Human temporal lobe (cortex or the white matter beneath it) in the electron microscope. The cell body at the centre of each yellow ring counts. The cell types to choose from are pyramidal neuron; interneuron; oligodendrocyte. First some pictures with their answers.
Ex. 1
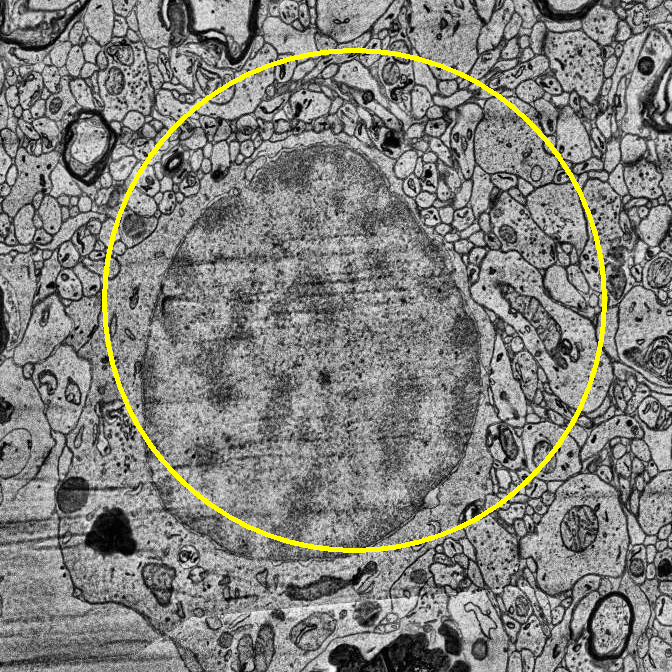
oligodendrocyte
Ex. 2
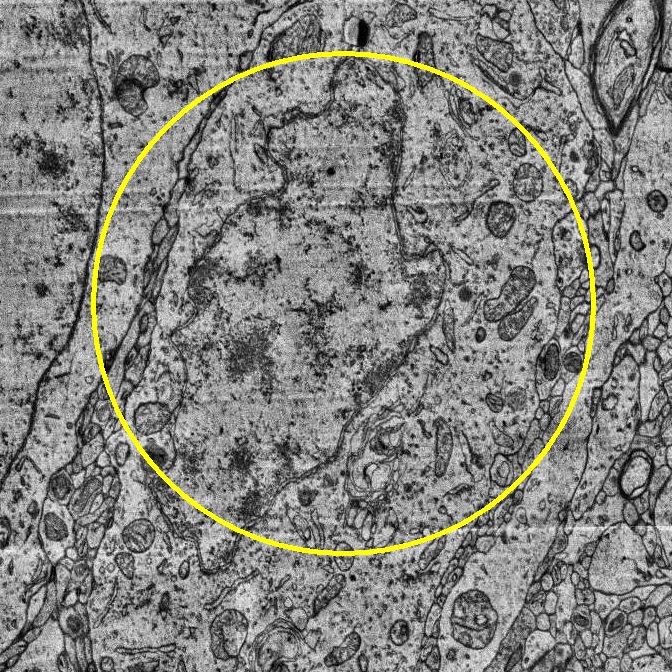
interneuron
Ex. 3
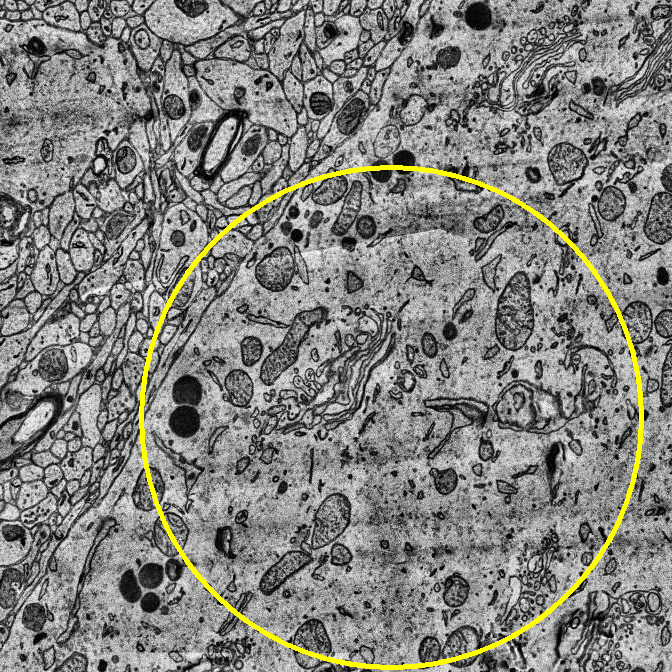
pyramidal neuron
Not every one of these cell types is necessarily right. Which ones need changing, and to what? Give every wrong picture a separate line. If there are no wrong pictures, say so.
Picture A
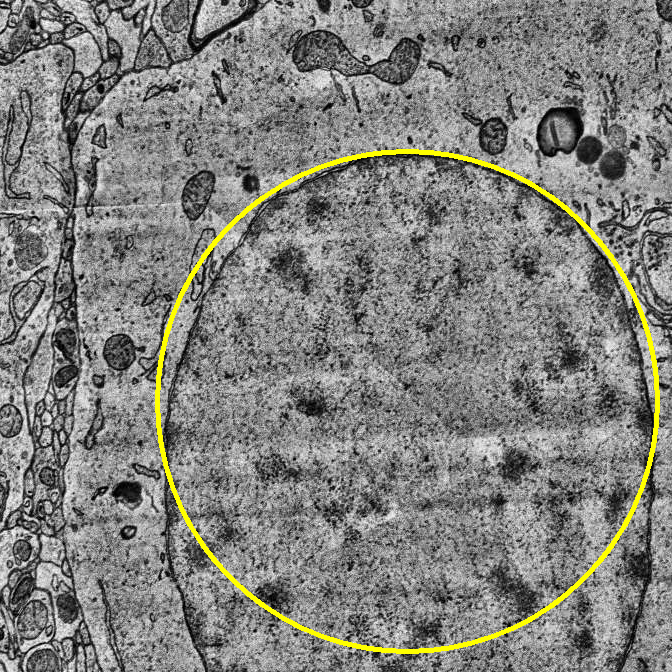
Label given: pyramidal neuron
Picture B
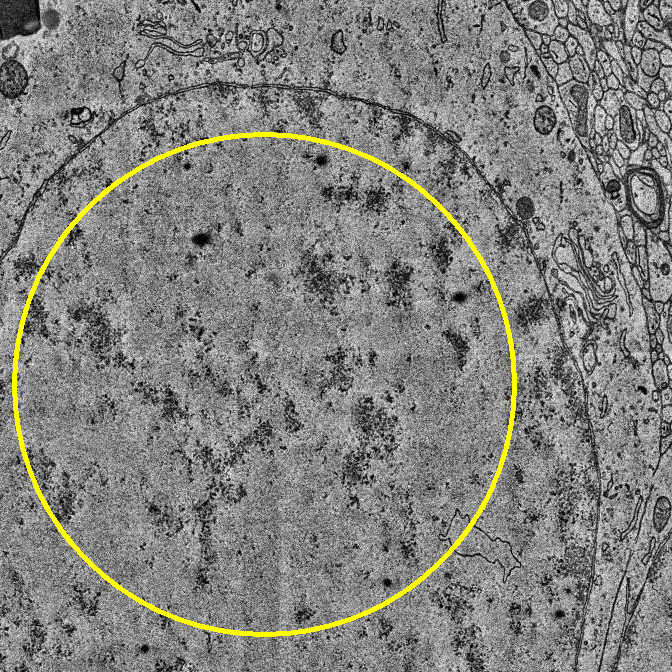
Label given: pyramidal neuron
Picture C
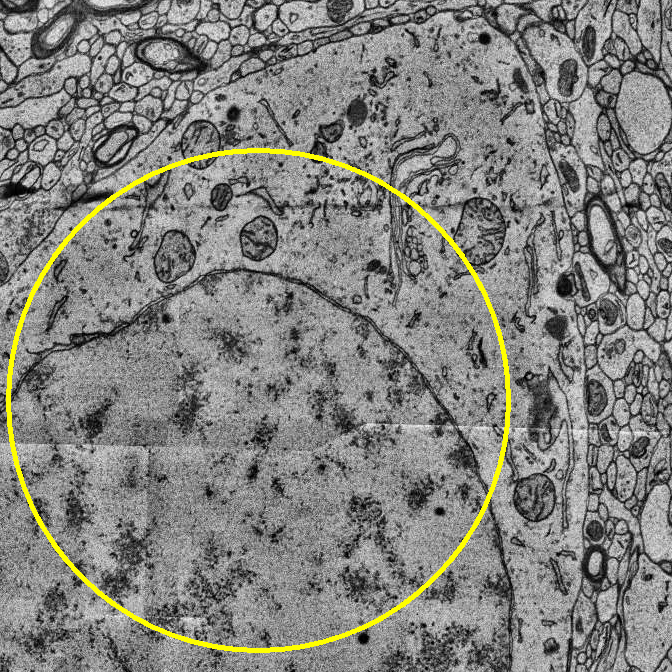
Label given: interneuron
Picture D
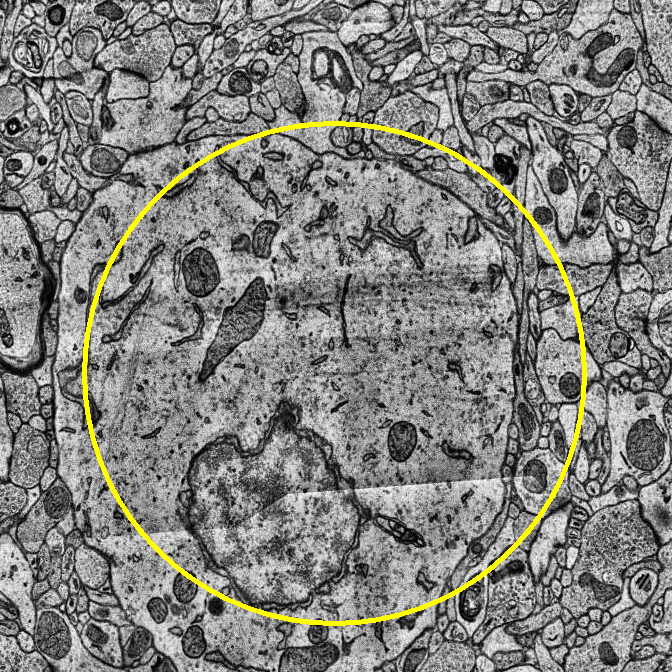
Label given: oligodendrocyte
C: change interneuron to pyramidal neuron
D: change oligodendrocyte to pyramidal neuron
